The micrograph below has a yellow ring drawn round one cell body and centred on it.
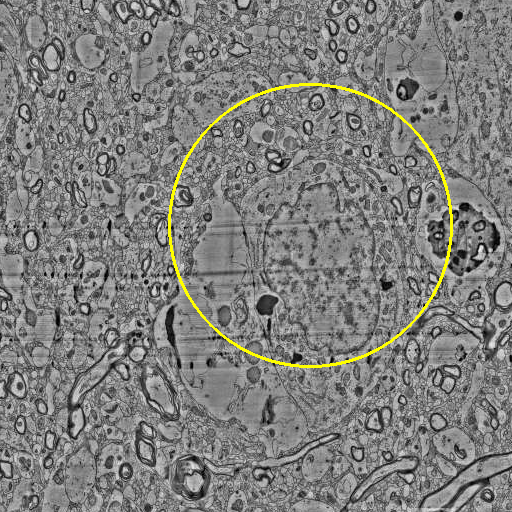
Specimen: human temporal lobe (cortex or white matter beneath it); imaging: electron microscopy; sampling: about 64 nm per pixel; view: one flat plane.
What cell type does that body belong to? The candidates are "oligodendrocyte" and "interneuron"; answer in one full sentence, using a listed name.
This is an interneuron, the cell whose body lies at the centre of the ring.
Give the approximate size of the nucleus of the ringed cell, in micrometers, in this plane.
The nucleus has a long axis of about 11 micrometres and a short axis of about 8 micrometres in this plane.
